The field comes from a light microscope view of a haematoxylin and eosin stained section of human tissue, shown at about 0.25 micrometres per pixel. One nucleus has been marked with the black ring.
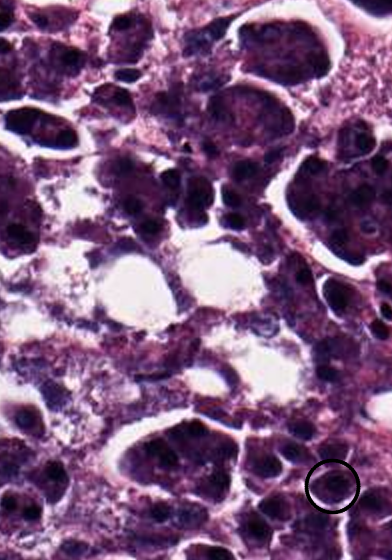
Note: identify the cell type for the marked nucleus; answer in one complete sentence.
The marked nucleus is located in a pancreatic acinar cell.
